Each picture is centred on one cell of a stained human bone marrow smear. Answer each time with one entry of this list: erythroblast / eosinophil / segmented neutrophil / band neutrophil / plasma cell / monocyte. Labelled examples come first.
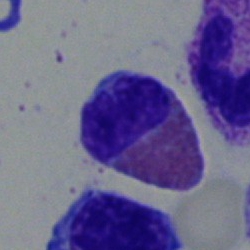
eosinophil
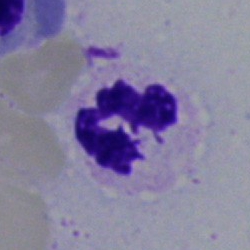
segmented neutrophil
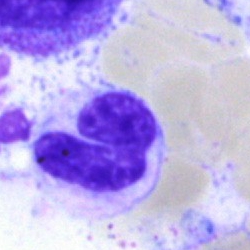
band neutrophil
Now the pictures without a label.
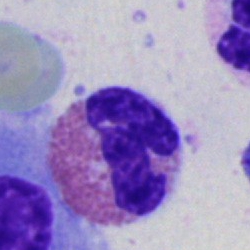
eosinophil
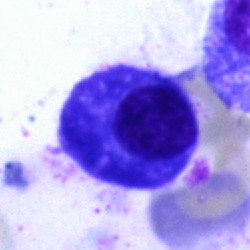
plasma cell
